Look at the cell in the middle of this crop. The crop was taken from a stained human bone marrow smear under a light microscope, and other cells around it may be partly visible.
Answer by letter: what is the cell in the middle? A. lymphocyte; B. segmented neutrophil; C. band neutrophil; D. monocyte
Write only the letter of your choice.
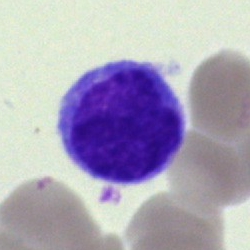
D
